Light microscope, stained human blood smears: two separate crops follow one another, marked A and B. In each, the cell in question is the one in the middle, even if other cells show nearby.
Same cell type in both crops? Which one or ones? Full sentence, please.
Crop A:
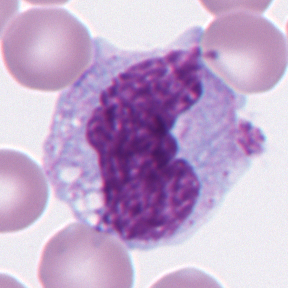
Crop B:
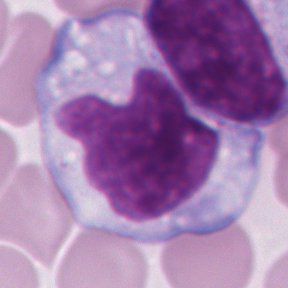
Yes, monocytes are seen in both crops.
